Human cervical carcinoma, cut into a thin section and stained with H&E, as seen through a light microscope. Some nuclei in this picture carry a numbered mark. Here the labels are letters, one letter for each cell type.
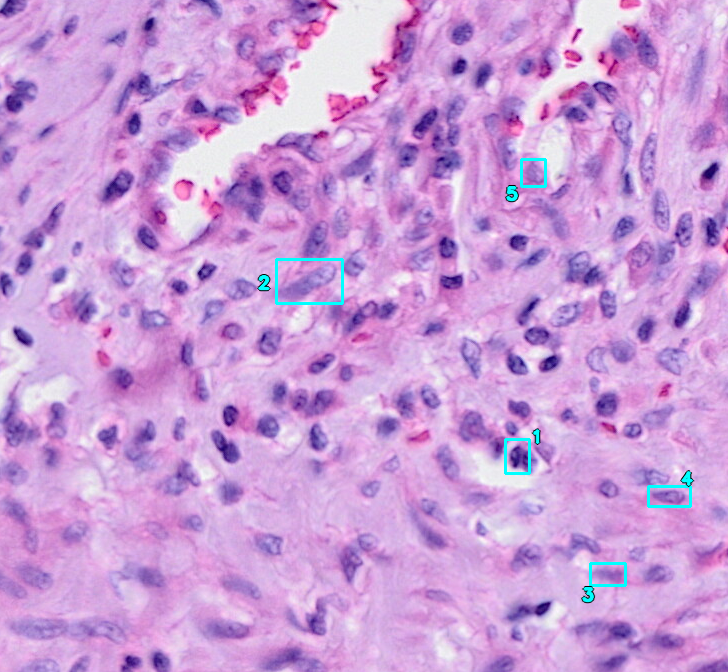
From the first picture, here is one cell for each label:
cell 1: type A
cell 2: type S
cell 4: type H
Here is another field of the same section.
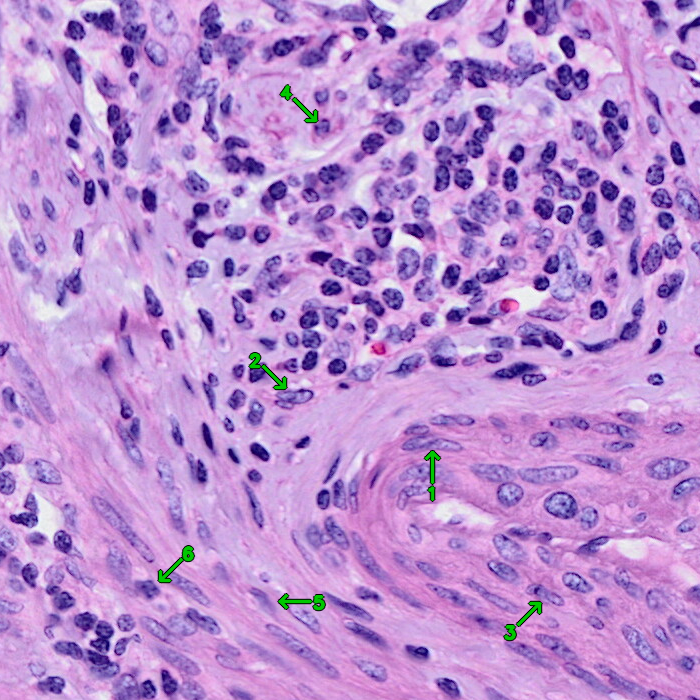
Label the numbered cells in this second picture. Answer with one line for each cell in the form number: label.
1: type H
2: type S
3: type H
4: type H
5: type H
6: type A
